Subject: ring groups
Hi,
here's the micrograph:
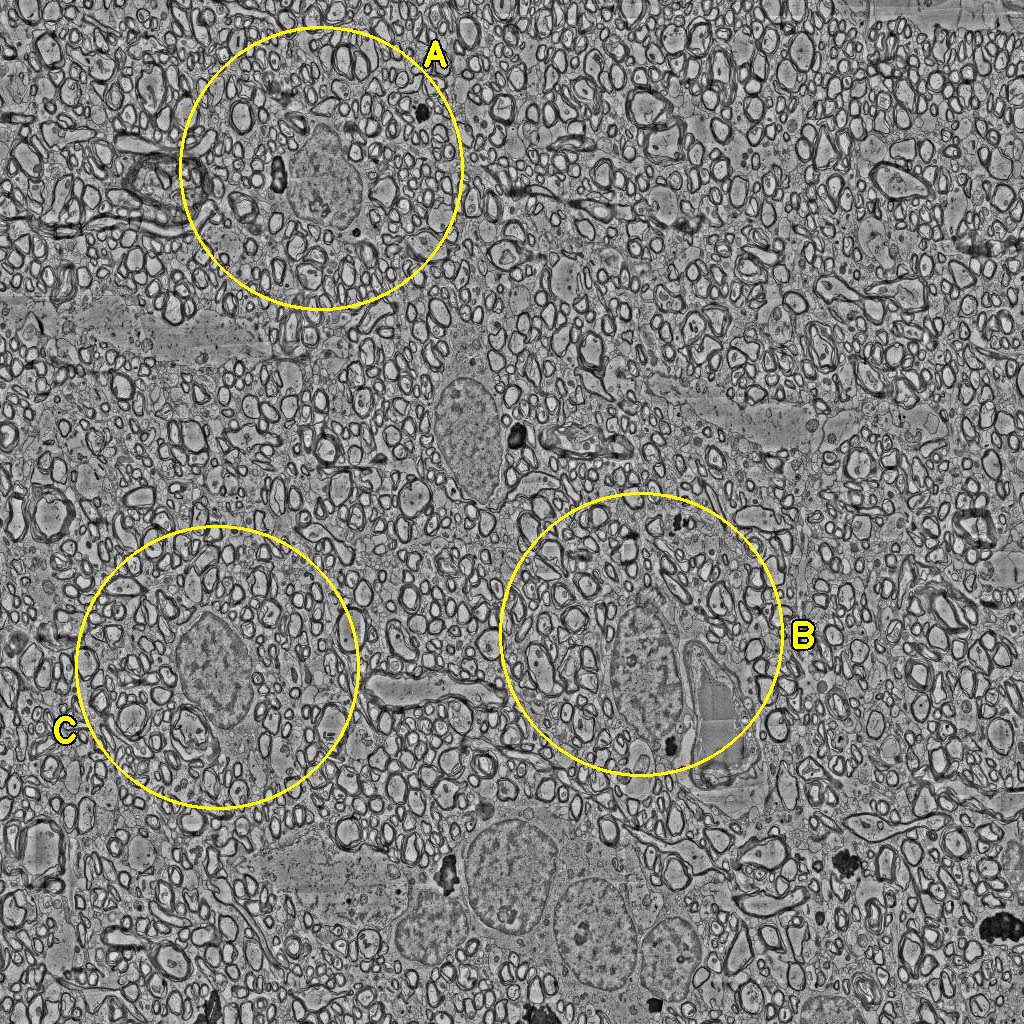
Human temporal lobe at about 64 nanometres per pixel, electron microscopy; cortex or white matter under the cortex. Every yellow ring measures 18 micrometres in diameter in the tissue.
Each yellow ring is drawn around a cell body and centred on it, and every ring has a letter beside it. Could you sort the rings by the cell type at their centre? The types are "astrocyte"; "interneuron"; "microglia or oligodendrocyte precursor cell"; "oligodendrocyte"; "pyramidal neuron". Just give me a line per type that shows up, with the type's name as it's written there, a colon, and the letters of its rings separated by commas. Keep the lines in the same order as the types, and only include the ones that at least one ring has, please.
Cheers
oligodendrocyte: A, B, C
